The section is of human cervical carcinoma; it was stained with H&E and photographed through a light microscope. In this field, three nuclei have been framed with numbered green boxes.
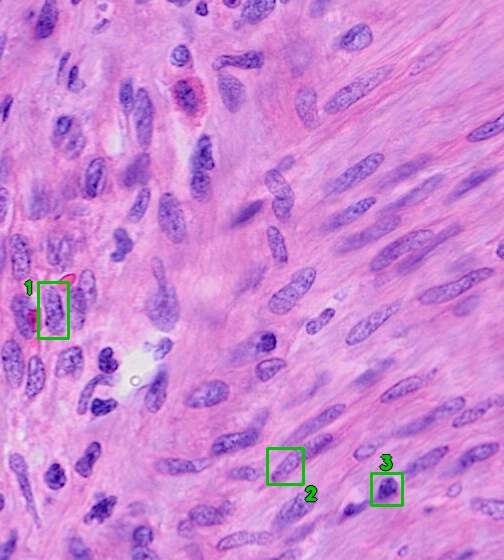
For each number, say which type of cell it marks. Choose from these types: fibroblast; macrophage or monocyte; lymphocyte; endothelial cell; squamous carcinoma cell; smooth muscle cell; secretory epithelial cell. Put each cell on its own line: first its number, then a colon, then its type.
1: endothelial cell
2: smooth muscle cell
3: lymphocyte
